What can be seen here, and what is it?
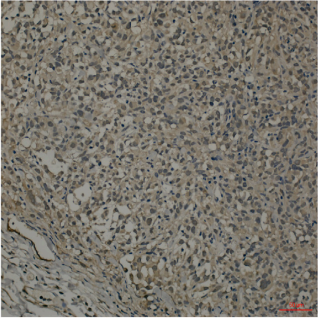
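Closely packed tumor cells form a solid sheet across the field, with crowded blue oval nuclei of varying size. The cells are arranged without any ordered layering, some rounded and some elongated. At the lower left corner a band of looser, paler fibrous tissue with a small vessel-like profile borders the cellular mass. The picture is that of a solid tumor with a thin strip of stroma at its edge.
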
